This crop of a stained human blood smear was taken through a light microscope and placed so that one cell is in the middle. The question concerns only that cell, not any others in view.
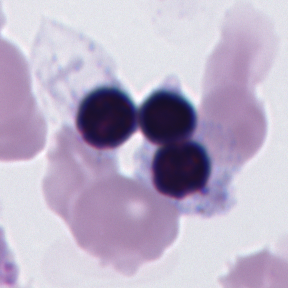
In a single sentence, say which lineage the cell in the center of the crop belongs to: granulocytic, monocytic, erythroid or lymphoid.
Included in the erythroid lineage is the cell at the middle of the crop.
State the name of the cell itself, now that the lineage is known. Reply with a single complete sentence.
In the center of this field lies a normoblast.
